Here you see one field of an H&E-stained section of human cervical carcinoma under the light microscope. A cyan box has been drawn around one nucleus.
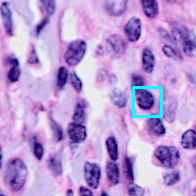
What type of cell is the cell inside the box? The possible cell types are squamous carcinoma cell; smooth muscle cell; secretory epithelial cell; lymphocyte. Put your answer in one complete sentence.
For cell typing purposes, the cell inside the box is a lymphocyte.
